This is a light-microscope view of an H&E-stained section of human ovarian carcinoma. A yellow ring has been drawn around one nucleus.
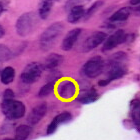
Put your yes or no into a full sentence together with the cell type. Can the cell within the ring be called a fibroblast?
No, the cell within the ring is to be classified as a carcinoma cell rather than a fibroblast.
